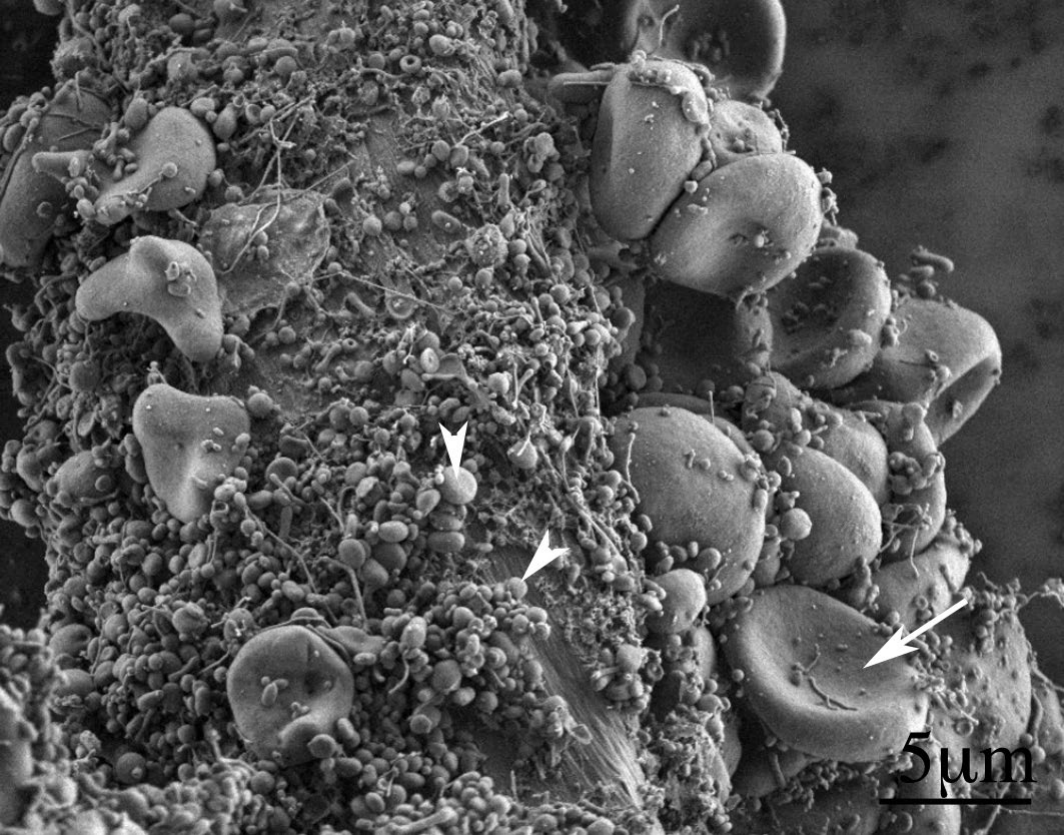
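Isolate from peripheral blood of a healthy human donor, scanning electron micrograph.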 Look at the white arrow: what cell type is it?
Erythrocytes.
